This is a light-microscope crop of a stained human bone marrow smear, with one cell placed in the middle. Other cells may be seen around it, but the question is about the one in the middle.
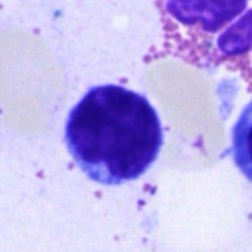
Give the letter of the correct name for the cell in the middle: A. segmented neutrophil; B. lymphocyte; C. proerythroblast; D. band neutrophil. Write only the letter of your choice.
B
